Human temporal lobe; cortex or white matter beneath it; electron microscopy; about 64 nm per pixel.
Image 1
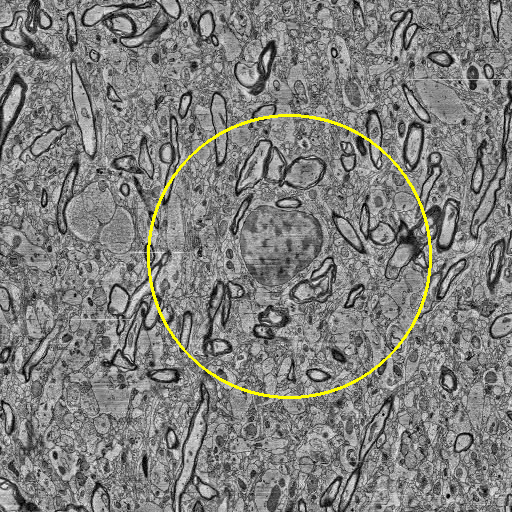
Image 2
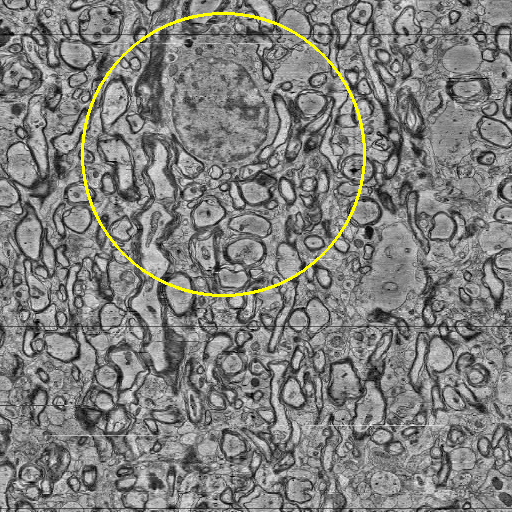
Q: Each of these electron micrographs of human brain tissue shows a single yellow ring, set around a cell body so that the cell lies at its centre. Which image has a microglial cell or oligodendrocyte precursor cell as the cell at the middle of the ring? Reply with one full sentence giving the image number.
In image 1, the cell lying at the ring's centre is the requested one.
